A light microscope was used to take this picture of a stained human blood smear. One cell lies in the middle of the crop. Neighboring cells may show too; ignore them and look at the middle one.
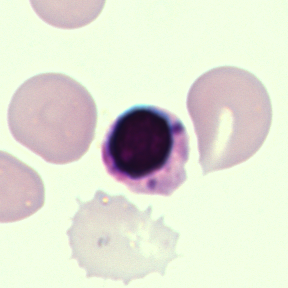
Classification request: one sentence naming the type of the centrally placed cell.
Present in the middle of the crop is an erythroblast.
